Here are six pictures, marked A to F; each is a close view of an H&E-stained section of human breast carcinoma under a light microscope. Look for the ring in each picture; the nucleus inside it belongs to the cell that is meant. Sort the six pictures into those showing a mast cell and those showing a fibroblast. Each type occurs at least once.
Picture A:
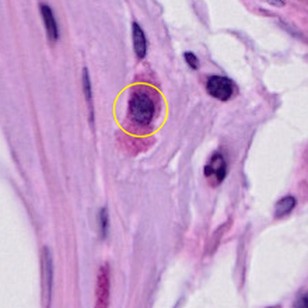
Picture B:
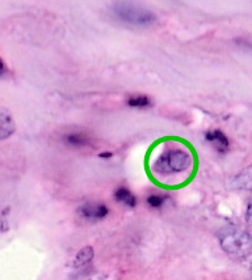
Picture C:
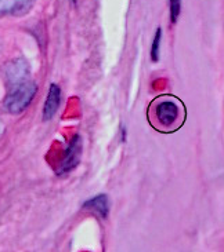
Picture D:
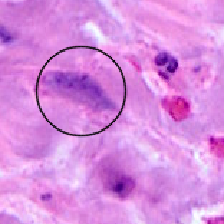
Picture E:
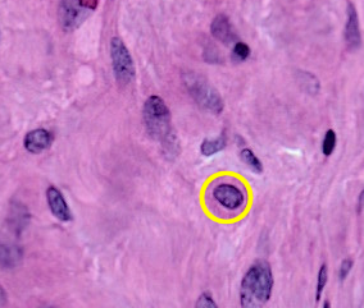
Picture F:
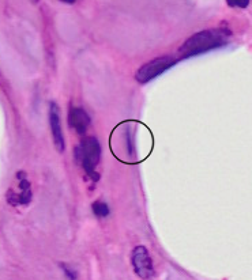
A: mast cell
B: mast cell
C: mast cell
D: fibroblast
E: mast cell
F: fibroblast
